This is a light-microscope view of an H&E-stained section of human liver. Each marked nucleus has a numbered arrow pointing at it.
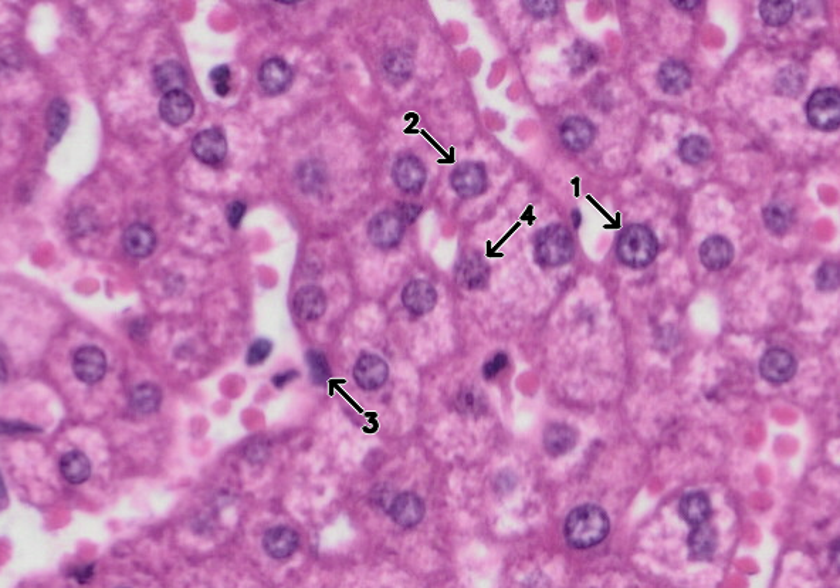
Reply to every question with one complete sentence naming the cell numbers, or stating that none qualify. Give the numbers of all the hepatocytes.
By cell type, the cells numbered 1, 2 and 4 are hepatocytes.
